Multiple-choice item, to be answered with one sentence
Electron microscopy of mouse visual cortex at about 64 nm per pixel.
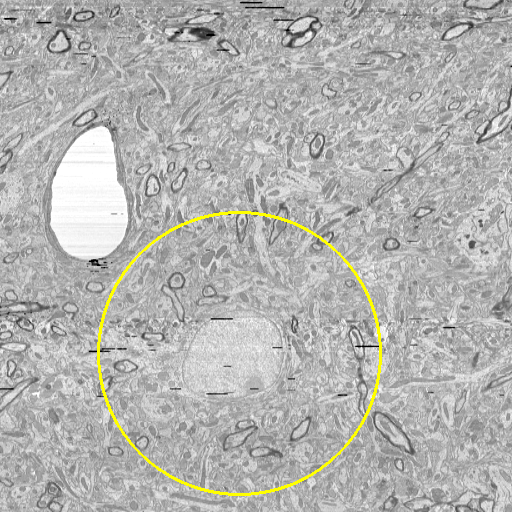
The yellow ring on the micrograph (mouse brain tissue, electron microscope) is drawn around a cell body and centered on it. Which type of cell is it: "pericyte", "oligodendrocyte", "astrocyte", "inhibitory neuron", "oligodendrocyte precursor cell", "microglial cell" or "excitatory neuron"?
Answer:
The ring is centered on an astrocyte.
